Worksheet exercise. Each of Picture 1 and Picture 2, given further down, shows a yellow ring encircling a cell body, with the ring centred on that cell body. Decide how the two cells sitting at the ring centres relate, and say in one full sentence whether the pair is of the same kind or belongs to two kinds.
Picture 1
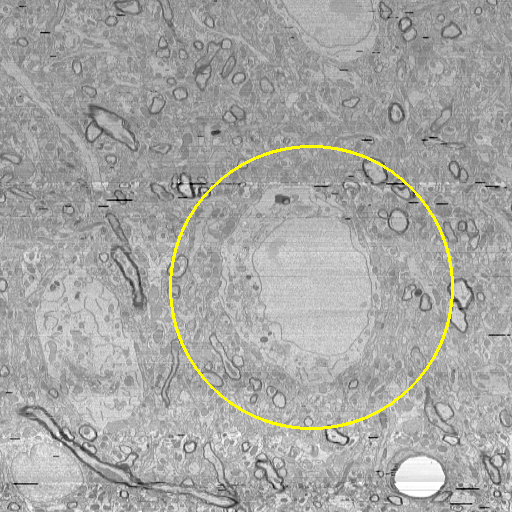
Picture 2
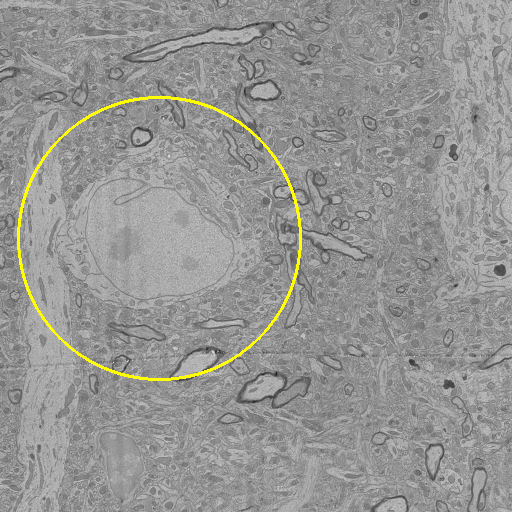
The cells at the ring centres in Picture 1 and Picture 2 are of the same kind.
